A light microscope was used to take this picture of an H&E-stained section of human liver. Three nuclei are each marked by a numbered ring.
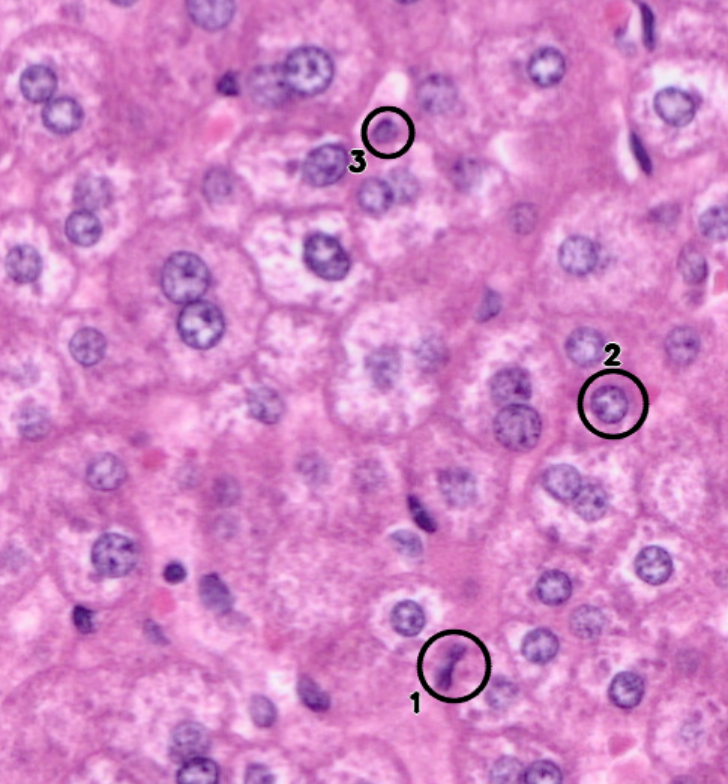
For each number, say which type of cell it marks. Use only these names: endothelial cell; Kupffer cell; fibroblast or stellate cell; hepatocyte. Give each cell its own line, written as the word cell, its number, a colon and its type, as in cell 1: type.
cell 1: endothelial cell
cell 2: hepatocyte
cell 3: Kupffer cell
